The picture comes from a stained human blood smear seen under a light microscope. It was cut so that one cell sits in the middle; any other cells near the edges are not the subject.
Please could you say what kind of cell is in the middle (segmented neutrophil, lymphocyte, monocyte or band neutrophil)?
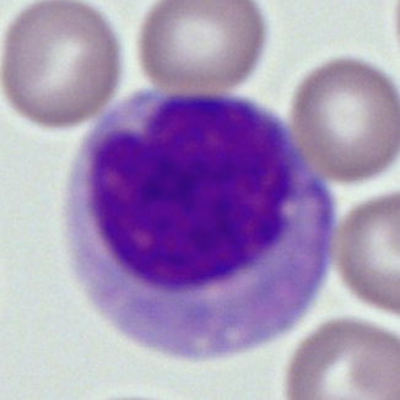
monocyte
